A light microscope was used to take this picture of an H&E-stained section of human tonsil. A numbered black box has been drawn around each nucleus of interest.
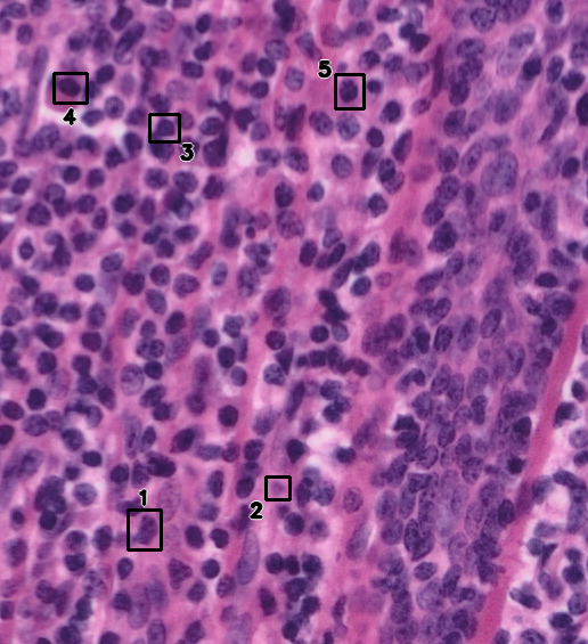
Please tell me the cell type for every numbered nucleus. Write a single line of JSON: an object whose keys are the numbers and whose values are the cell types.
{"1": "endothelial cell", "2": "endothelial cell", "3": "small lymphocyte", "4": "plasma cell", "5": "plasma cell"}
